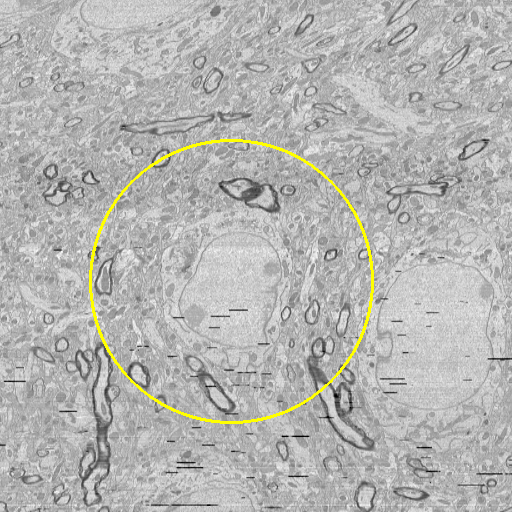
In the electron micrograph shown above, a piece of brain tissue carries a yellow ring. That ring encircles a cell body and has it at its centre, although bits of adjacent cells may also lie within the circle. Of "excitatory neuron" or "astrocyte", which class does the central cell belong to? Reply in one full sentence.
The cell body at the centre of the yellow ring belongs to an excitatory neuron.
